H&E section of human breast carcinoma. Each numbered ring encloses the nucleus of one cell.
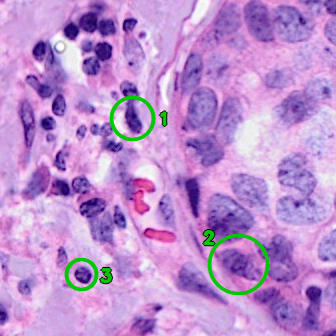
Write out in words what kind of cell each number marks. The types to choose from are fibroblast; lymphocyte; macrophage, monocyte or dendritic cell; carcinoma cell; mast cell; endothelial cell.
Cell 1 is a lymphocyte, cell 2 is a carcinoma cell and cell 3 is a lymphocyte.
